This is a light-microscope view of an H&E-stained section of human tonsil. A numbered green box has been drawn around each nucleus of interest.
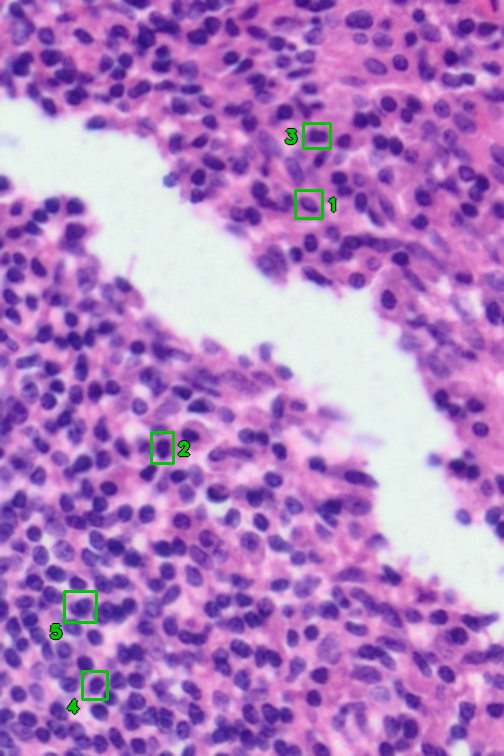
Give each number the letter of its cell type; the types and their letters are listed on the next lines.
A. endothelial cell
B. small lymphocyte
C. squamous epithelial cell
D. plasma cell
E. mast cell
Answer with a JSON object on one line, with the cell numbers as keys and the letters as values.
{"1": "D", "2": "D", "3": "D", "4": "B", "5": "B"}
